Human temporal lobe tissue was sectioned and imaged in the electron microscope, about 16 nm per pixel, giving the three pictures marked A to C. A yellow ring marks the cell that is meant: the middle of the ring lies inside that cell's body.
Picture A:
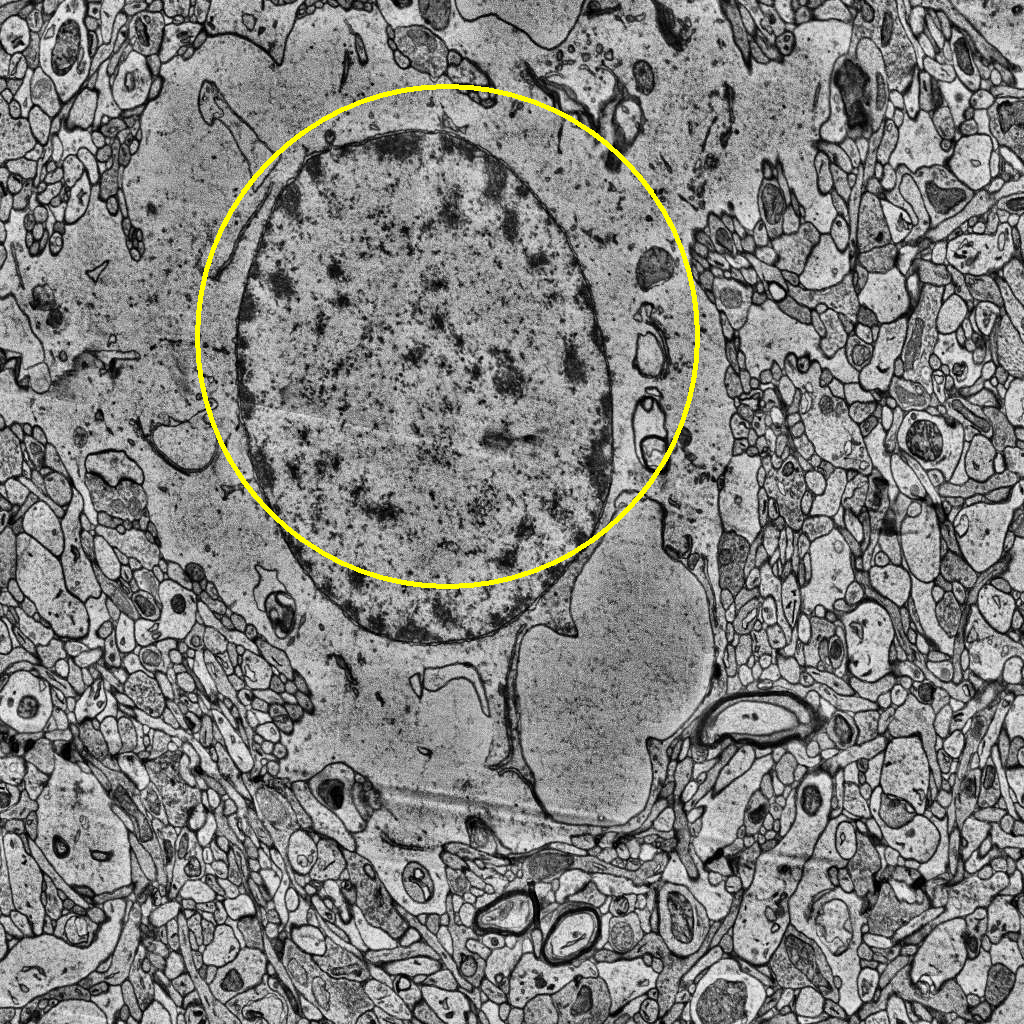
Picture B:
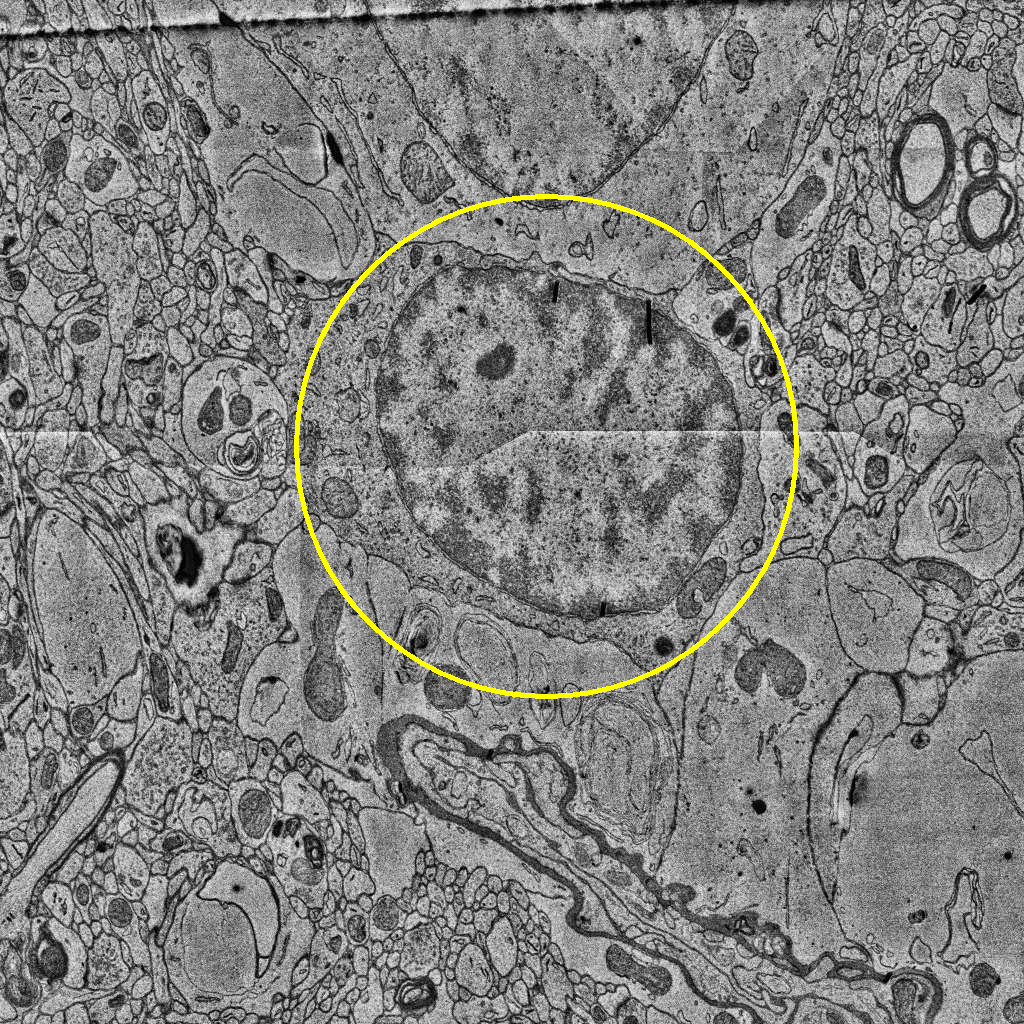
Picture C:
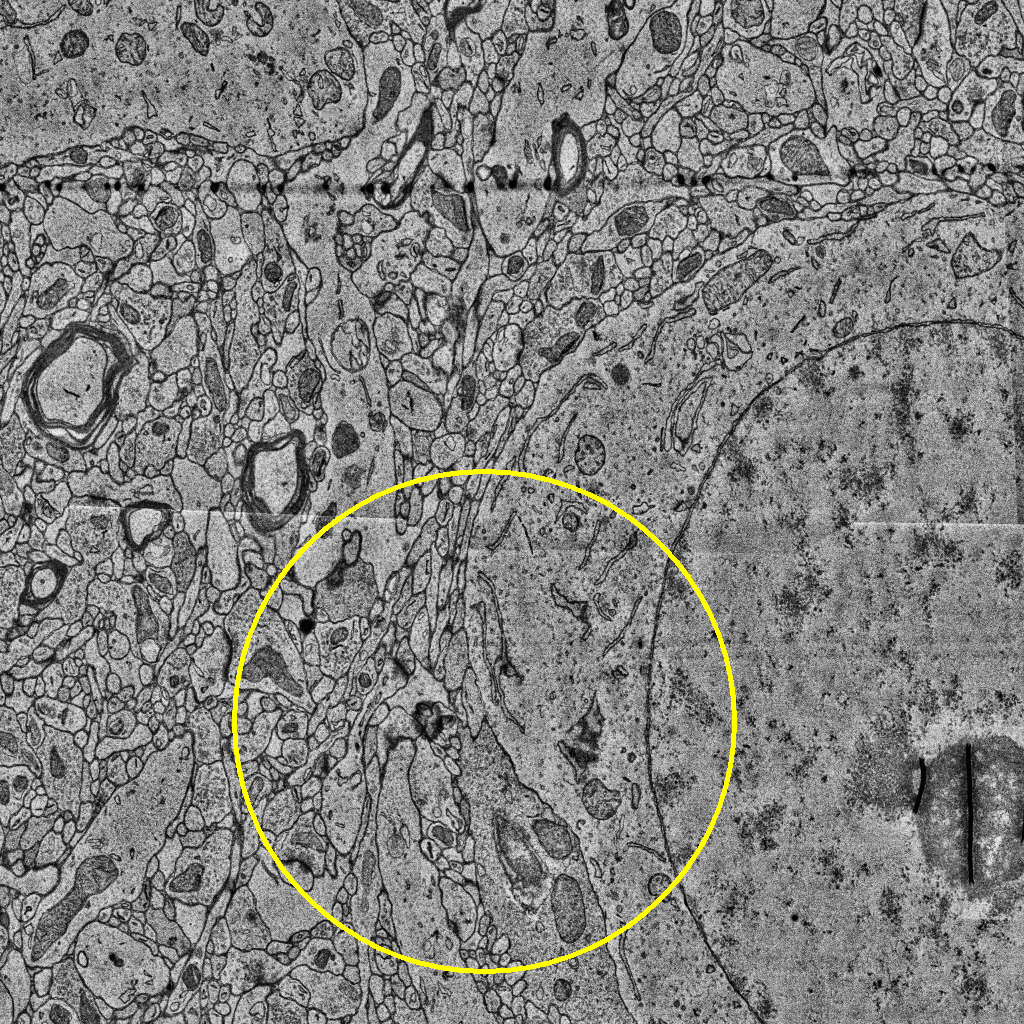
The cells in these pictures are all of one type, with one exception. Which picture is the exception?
Unlike the rest, which show oligodendrocytes, picture A shows an astrocyte.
